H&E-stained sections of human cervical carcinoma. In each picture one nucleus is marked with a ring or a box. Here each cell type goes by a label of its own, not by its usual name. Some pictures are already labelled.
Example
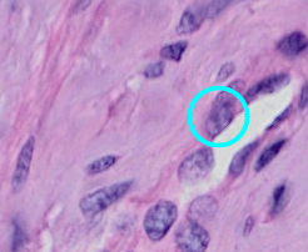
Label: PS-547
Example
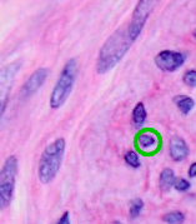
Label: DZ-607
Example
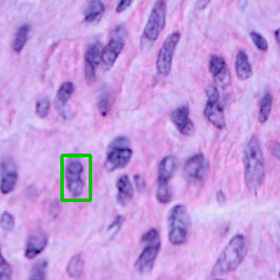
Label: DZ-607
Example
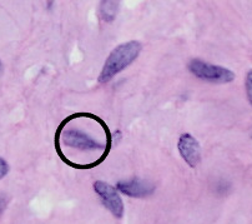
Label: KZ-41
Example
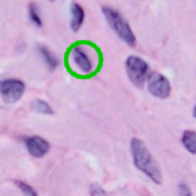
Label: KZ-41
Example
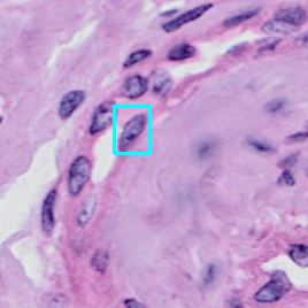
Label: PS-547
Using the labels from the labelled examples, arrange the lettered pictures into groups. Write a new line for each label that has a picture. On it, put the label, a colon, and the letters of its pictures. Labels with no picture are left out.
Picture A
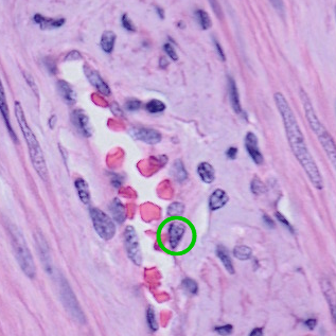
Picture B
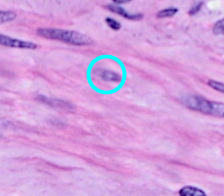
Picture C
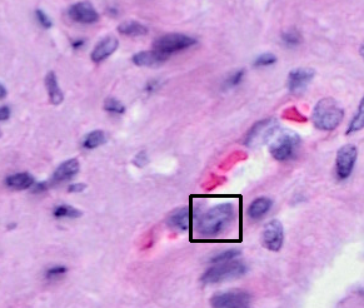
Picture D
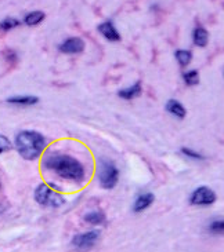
PS-547: A, C, D
DZ-607: B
